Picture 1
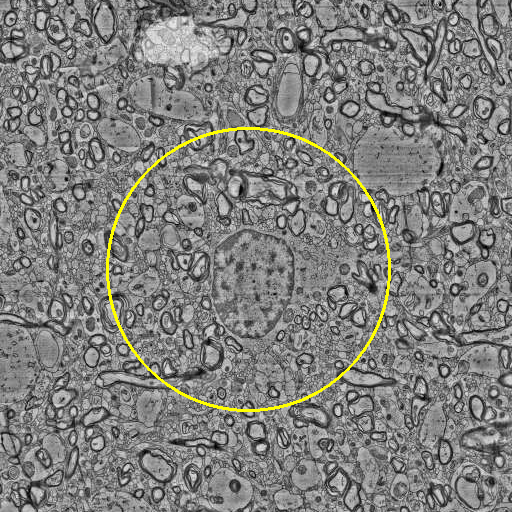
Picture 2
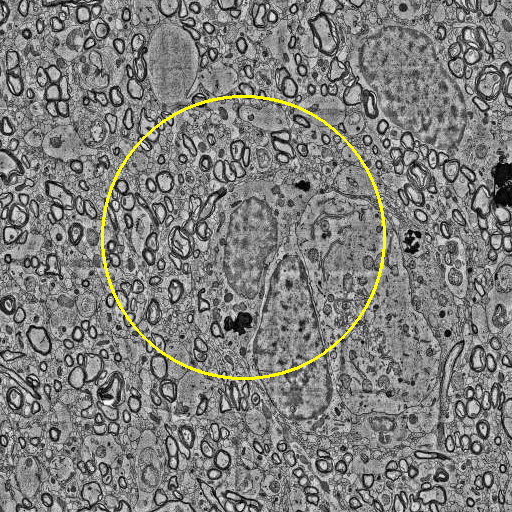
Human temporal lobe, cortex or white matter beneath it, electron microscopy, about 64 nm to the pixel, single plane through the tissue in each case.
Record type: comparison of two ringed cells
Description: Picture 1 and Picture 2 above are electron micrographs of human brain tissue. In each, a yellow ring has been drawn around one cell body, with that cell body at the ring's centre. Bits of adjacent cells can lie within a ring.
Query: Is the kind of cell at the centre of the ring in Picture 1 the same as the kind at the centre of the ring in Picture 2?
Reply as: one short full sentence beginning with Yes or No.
Yes, the two ringed cells are of the same kind.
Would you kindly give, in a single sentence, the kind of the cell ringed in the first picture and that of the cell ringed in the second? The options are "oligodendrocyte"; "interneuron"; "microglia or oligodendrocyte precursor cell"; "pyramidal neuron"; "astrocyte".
Both rings mark an oligodendrocyte, one in each picture.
